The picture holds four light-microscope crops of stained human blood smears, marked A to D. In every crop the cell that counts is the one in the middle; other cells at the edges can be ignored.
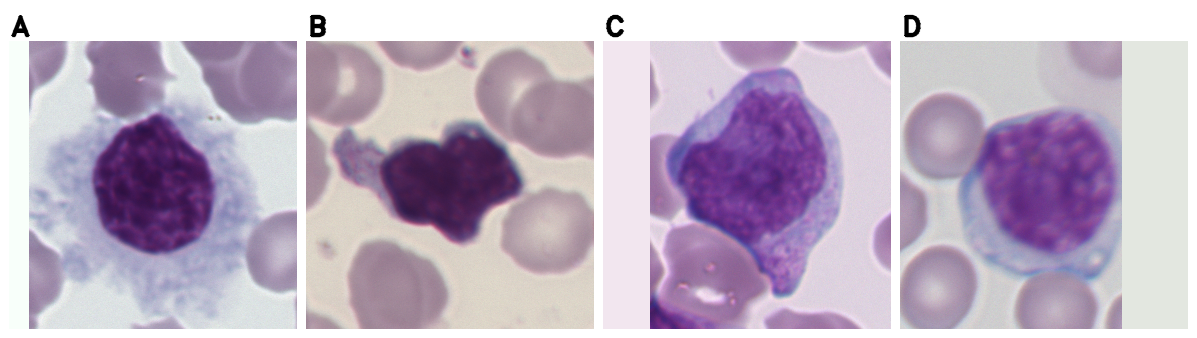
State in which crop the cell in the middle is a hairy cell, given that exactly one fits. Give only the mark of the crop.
A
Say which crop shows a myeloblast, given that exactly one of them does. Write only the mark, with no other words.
D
